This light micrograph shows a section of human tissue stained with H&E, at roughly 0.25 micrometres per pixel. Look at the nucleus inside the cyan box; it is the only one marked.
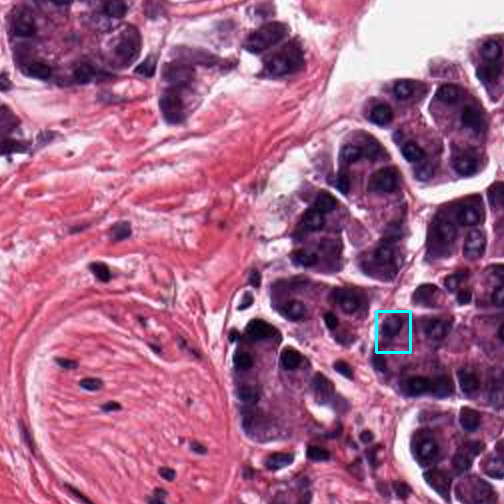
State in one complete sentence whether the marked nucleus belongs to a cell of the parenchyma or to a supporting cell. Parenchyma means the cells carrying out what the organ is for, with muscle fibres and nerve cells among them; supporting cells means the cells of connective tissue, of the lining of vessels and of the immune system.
To a parenchymal cell, namely a pancreatic acinar cell, belongs the marked nucleus.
